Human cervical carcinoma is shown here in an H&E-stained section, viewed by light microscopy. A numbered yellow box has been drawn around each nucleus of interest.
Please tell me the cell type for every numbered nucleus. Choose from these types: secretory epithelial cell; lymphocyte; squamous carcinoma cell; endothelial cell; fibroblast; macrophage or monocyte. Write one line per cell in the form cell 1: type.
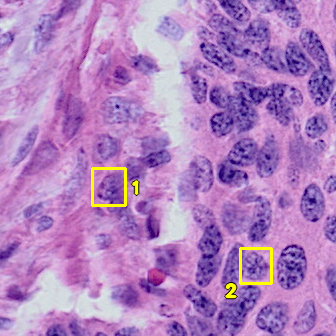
cell 1: endothelial cell
cell 2: squamous carcinoma cell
